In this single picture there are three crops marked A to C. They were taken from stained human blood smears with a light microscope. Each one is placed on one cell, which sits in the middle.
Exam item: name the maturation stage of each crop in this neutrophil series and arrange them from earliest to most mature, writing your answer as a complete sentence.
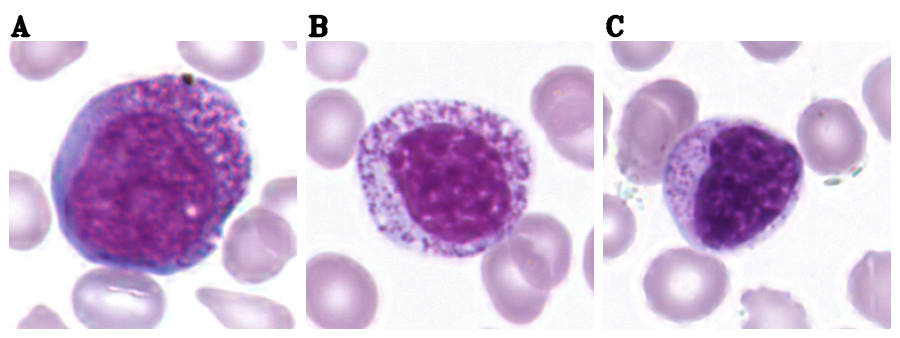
The proper maturity order, starting from the least mature, is crop A (a promyelocyte), crop B (a myelocyte) and crop C (a metamyelocyte).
